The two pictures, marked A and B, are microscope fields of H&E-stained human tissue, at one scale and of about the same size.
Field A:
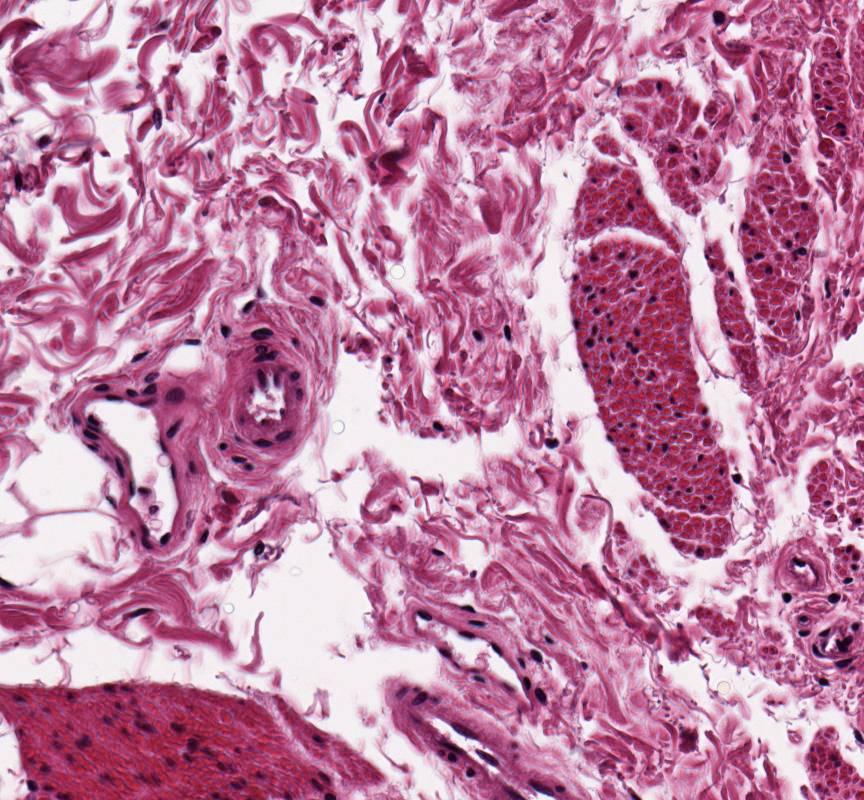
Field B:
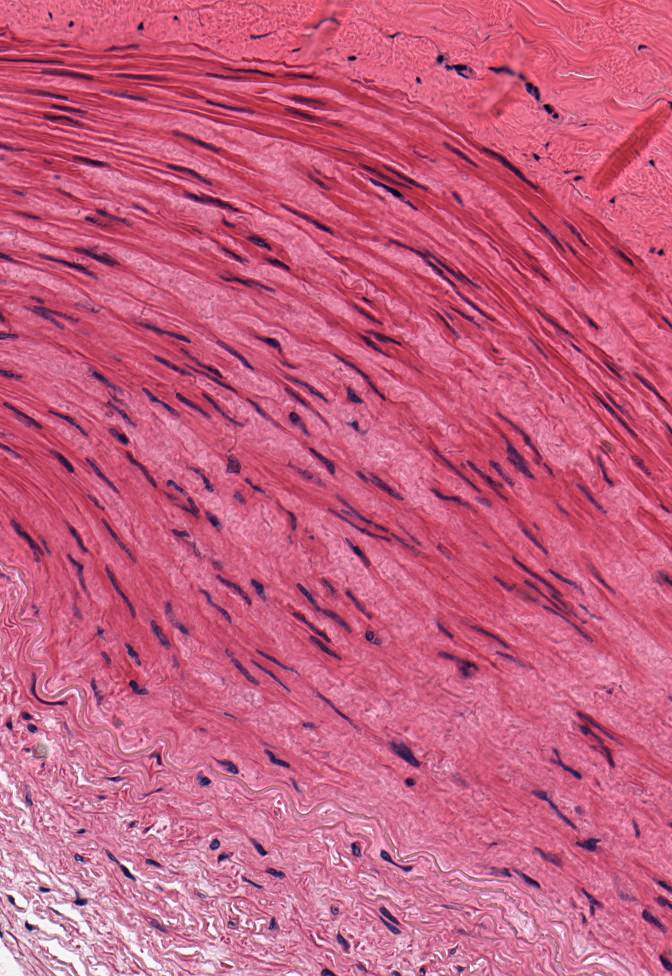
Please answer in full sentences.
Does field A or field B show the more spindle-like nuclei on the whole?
Longer, more slender nuclei lie in field B.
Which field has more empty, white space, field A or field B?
Field A has more white space.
